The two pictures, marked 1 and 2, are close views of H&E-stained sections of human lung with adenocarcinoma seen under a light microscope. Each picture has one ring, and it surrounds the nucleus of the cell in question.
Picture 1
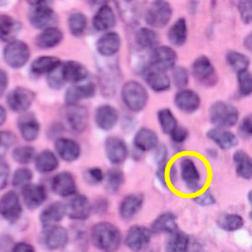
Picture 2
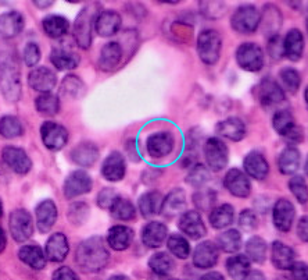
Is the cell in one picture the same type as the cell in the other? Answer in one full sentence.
Yes, both are lymphocytes.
